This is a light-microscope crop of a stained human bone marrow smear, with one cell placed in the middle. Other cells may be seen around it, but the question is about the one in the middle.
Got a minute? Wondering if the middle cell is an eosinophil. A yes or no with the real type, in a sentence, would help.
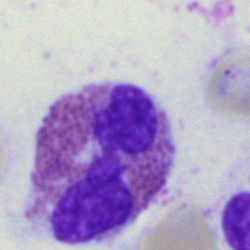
Yes, the middle cell in this crop is an eosinophil.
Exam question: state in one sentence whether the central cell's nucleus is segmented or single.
Rather than a single mass, the nucleus forms two or more lobes.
